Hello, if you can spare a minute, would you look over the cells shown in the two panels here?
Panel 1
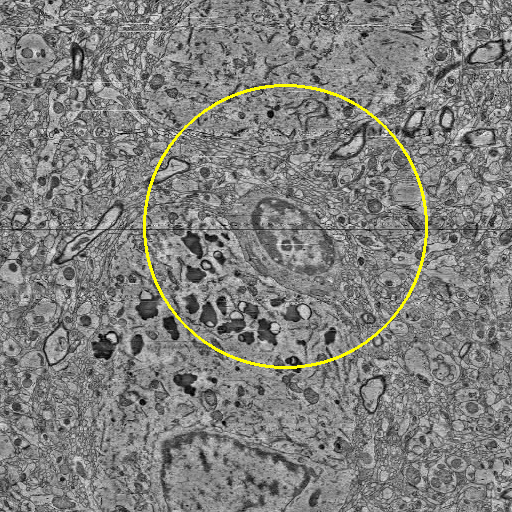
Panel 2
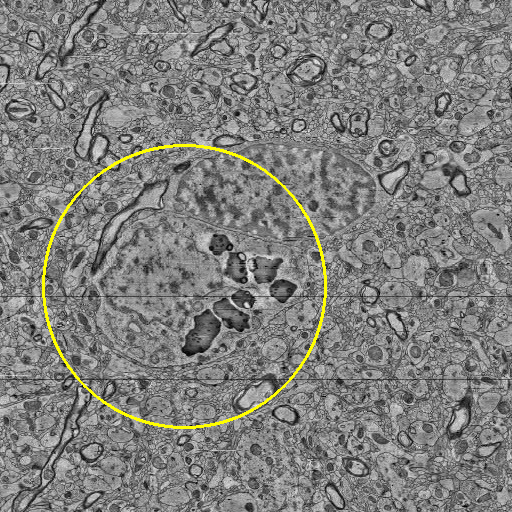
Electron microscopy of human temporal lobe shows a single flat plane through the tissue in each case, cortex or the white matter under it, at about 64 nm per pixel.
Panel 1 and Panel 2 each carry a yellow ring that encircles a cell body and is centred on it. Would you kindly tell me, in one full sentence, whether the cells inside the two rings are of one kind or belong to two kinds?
The cells at the centres of the rings in Panel 1 and Panel 2 belong to two kinds.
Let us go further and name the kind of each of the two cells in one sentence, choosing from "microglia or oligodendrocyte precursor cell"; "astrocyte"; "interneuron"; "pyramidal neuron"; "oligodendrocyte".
The ring of the first picture is on an oligodendrocyte, the ring of the second on an interneuron.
